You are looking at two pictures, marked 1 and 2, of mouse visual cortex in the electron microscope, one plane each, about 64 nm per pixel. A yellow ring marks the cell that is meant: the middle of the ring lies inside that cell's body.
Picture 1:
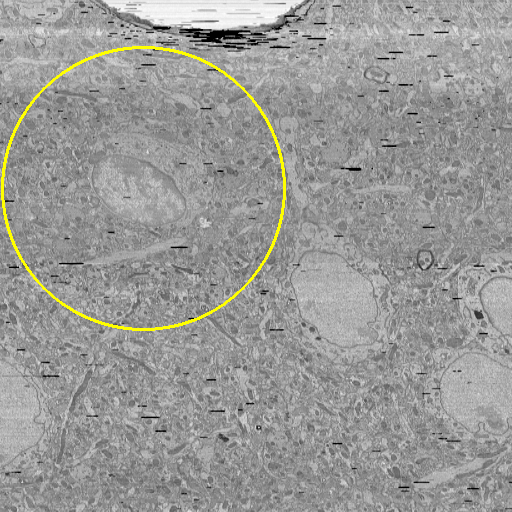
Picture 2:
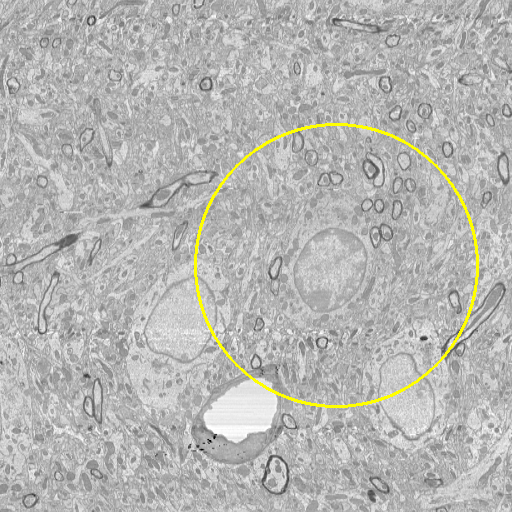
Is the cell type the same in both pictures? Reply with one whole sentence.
Yes; the cells in both pictures are oligodendrocytes.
